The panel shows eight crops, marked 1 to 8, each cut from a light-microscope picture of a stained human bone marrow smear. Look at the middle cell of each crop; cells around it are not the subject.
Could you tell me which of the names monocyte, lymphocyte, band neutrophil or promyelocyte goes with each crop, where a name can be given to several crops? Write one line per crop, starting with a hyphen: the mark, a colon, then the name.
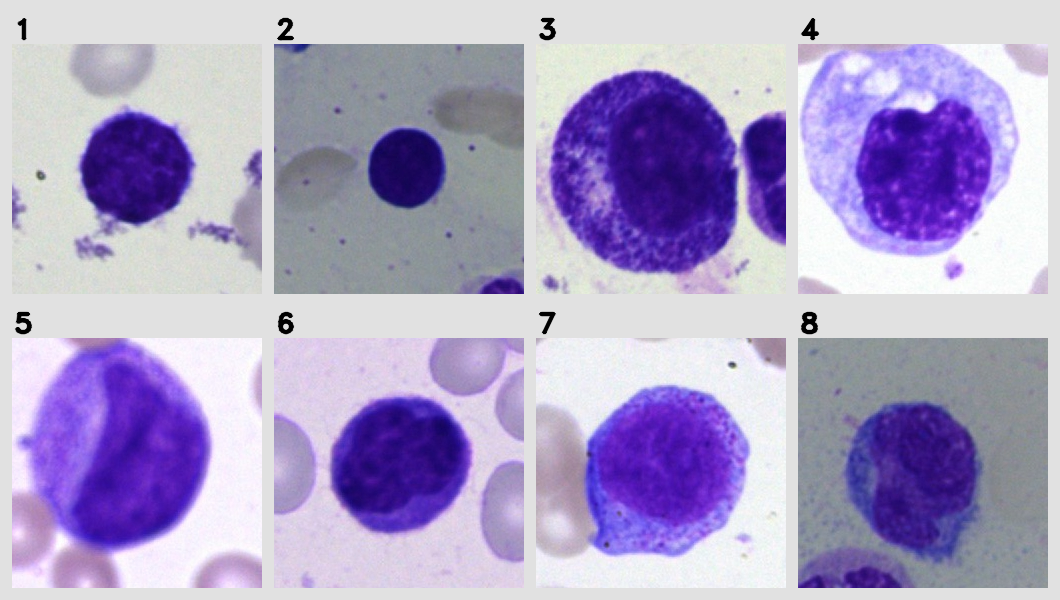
- 1: lymphocyte
- 2: lymphocyte
- 3: promyelocyte
- 4: monocyte
- 5: promyelocyte
- 6: monocyte
- 7: promyelocyte
- 8: monocyte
